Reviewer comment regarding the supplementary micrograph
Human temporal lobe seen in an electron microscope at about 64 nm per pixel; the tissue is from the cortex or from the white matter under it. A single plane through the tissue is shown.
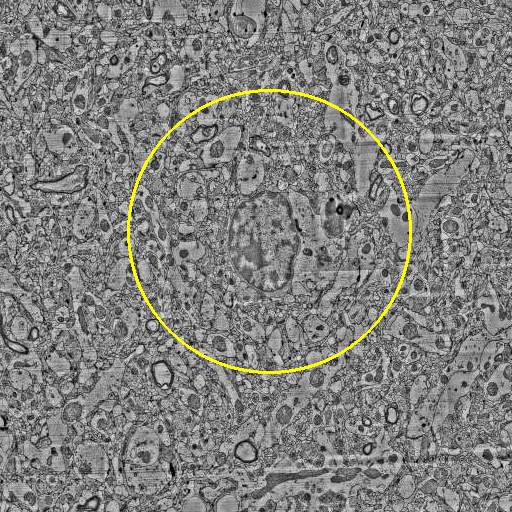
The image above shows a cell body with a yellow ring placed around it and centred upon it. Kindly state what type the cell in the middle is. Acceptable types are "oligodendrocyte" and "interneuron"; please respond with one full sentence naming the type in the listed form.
In the image above, the cell on which the yellow ring is centred is an oligodendrocyte.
